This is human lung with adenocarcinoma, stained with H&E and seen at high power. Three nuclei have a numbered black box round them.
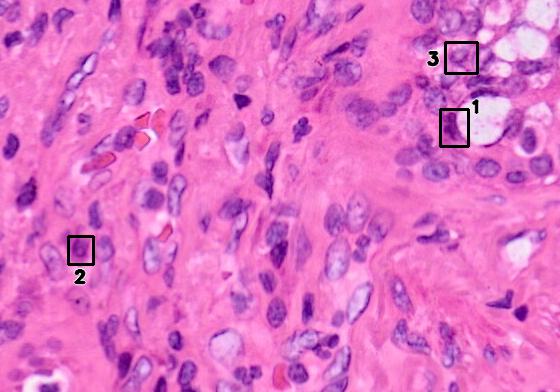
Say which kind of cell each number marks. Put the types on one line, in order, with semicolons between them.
ciliated epithelial cell; plasma cell; ciliated epithelial cell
